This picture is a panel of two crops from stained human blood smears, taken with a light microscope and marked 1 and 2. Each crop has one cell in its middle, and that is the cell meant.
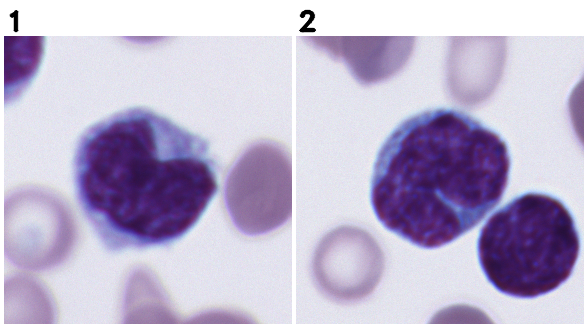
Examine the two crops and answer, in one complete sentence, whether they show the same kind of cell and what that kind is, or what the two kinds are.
Yes, the centre of both crops is taken up by monocytes.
